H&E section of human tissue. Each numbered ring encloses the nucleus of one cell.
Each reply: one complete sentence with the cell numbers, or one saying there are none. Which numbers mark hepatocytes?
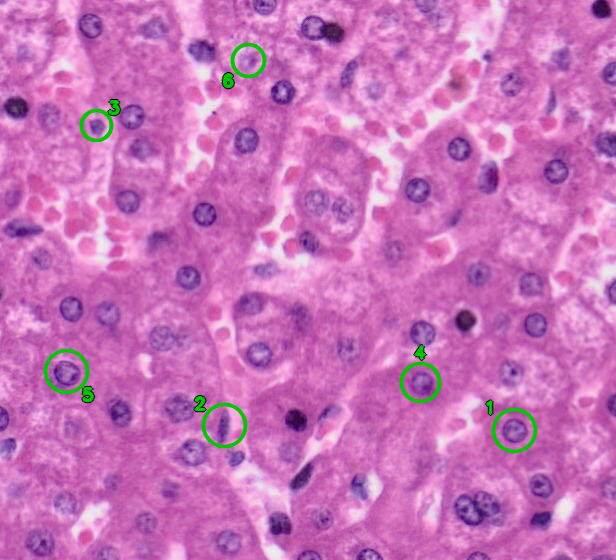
The cells marked with the numbers 1, 4, 5 and 6 are hepatocytes.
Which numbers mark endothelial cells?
Cell 2, and no other numbered cell, is an endothelial cell.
